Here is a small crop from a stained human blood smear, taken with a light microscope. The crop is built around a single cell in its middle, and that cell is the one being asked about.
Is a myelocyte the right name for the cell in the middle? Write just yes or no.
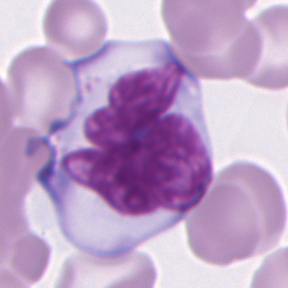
no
